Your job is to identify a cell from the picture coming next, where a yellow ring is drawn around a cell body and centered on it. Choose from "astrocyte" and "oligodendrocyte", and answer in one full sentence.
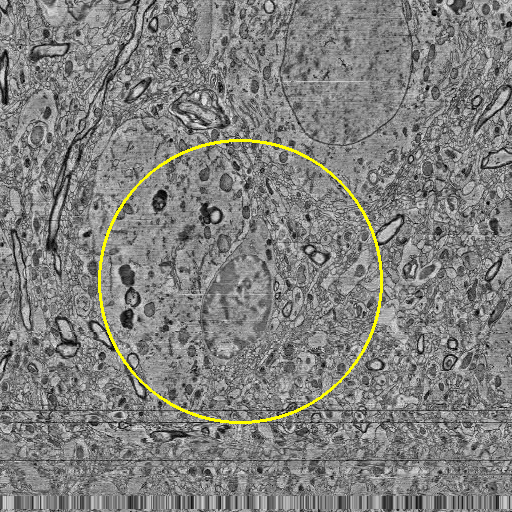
Centered in the yellow ring of the picture is the body of an oligodendrocyte.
